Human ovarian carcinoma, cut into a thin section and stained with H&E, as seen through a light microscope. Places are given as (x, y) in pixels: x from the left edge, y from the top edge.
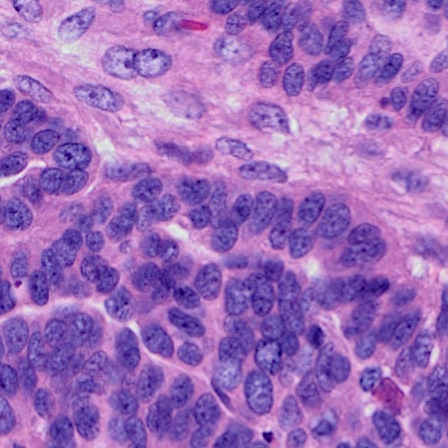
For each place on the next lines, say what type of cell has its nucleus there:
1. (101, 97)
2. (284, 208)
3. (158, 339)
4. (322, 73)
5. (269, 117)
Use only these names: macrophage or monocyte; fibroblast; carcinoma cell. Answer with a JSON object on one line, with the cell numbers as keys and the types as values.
{"1": "fibroblast", "2": "carcinoma cell", "3": "carcinoma cell", "4": "carcinoma cell", "5": "fibroblast"}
